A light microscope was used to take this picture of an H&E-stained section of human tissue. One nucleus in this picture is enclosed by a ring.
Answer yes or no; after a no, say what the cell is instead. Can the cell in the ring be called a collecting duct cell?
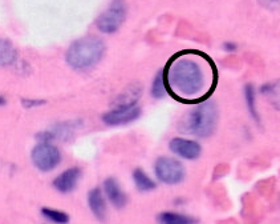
Yes.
